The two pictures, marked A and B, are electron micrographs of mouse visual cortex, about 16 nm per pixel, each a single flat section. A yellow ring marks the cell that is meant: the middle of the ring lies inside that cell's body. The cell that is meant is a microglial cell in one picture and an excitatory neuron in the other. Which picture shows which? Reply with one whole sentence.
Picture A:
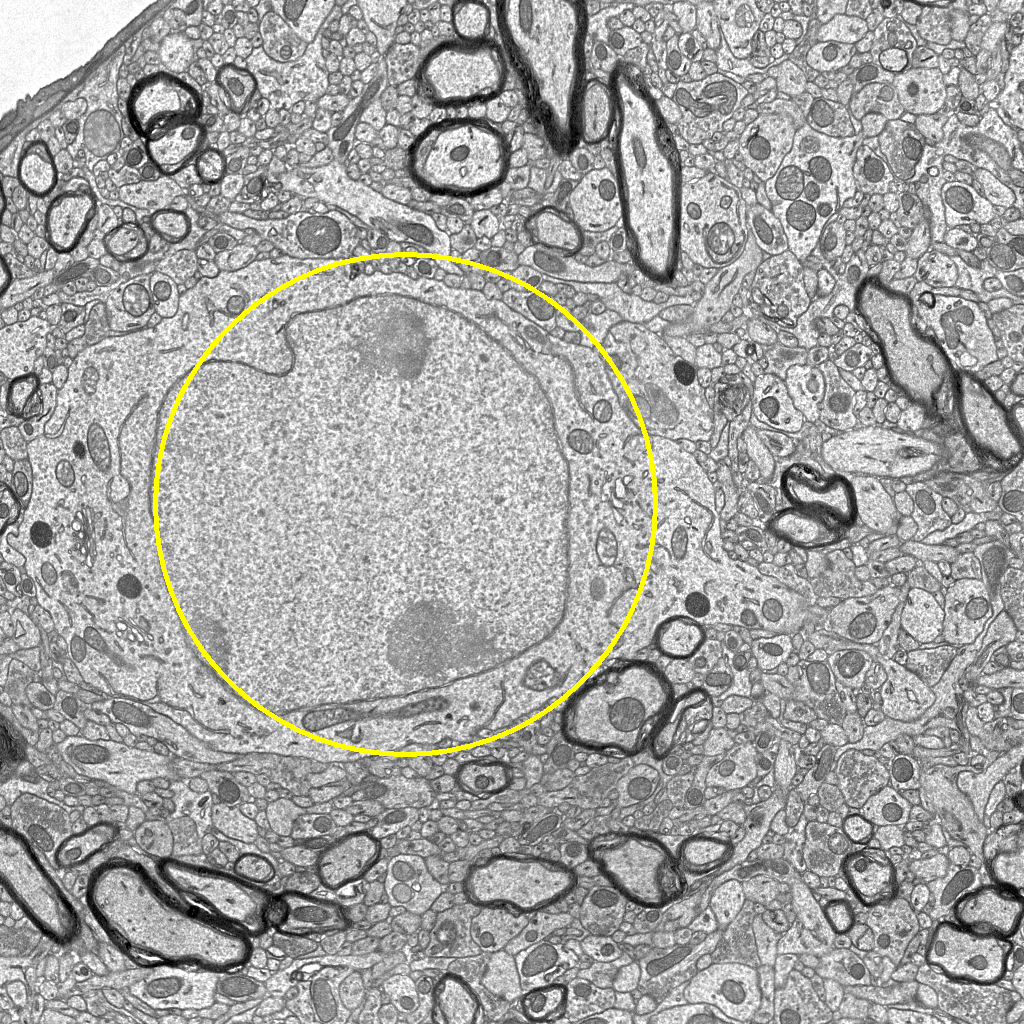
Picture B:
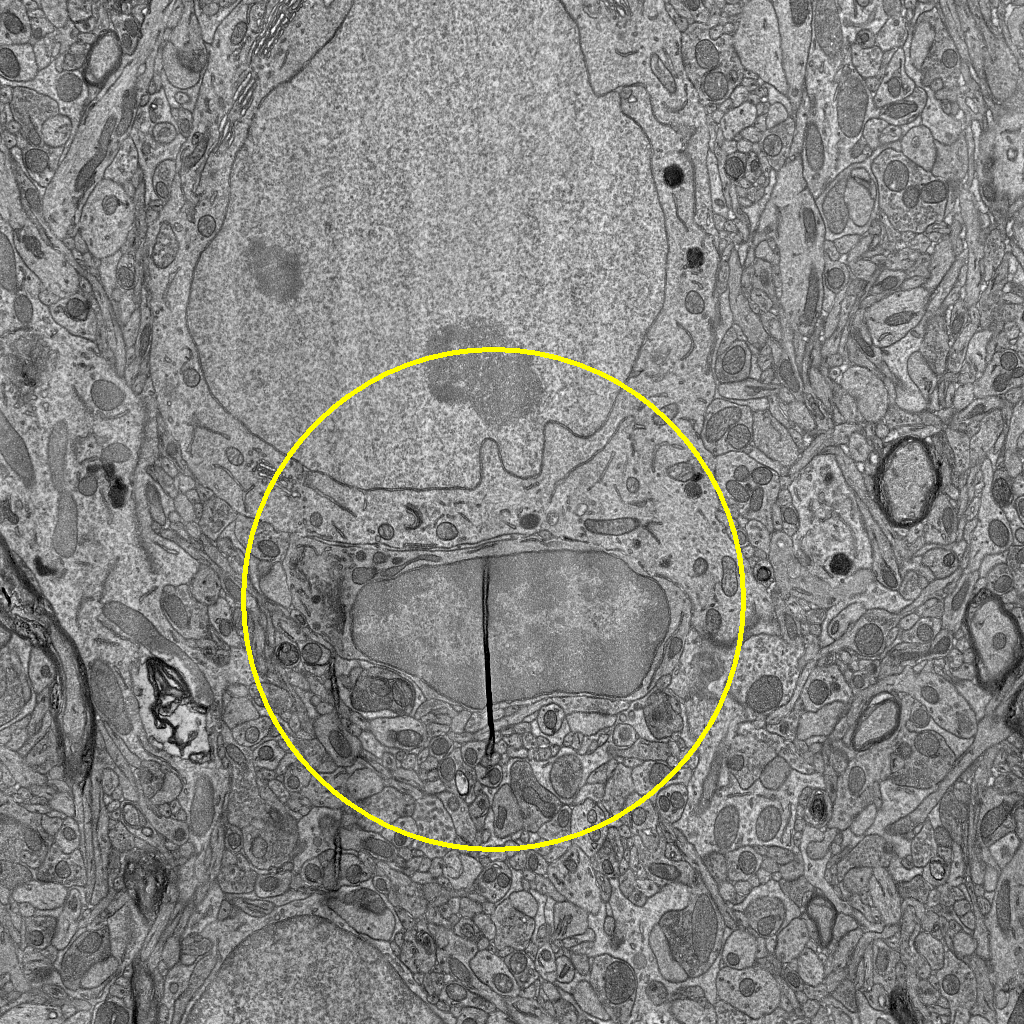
Picture B shows a microglial cell, while picture A shows an excitatory neuron.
